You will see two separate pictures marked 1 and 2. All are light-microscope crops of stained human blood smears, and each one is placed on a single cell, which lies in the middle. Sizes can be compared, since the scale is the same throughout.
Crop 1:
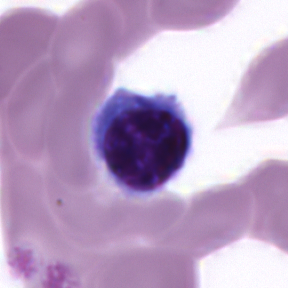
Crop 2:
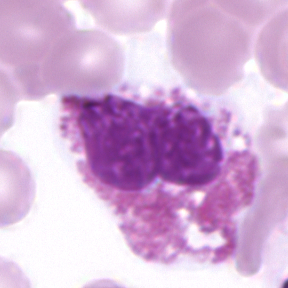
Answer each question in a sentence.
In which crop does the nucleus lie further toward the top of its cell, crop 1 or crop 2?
It is the nucleus in crop 2 that lies further toward the top of its cell.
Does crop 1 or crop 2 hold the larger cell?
The cell in crop 2 is larger, with about 2.5 times the area of the one in crop 1.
